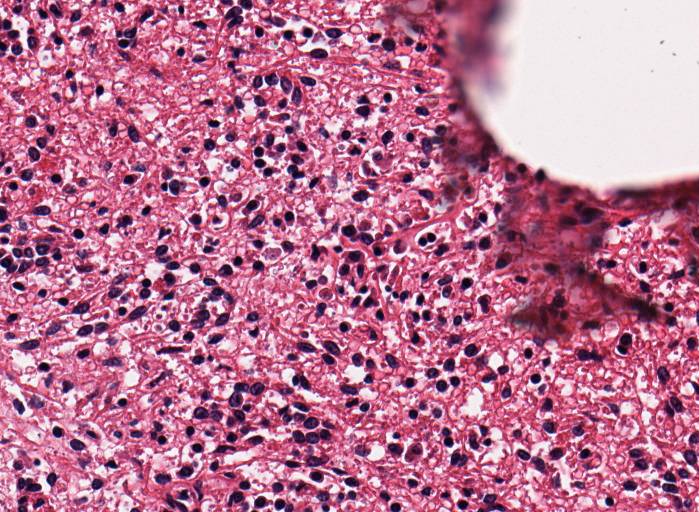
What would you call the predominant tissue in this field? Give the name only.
red pulp of the spleen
